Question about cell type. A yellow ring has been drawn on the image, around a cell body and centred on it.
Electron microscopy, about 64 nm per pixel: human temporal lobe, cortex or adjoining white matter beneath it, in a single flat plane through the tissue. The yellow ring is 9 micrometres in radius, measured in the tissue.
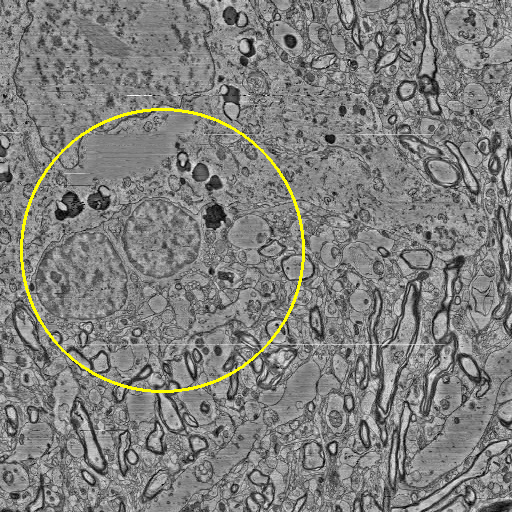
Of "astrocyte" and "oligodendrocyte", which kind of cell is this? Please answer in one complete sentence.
At the centre of the ring lies an oligodendrocyte.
